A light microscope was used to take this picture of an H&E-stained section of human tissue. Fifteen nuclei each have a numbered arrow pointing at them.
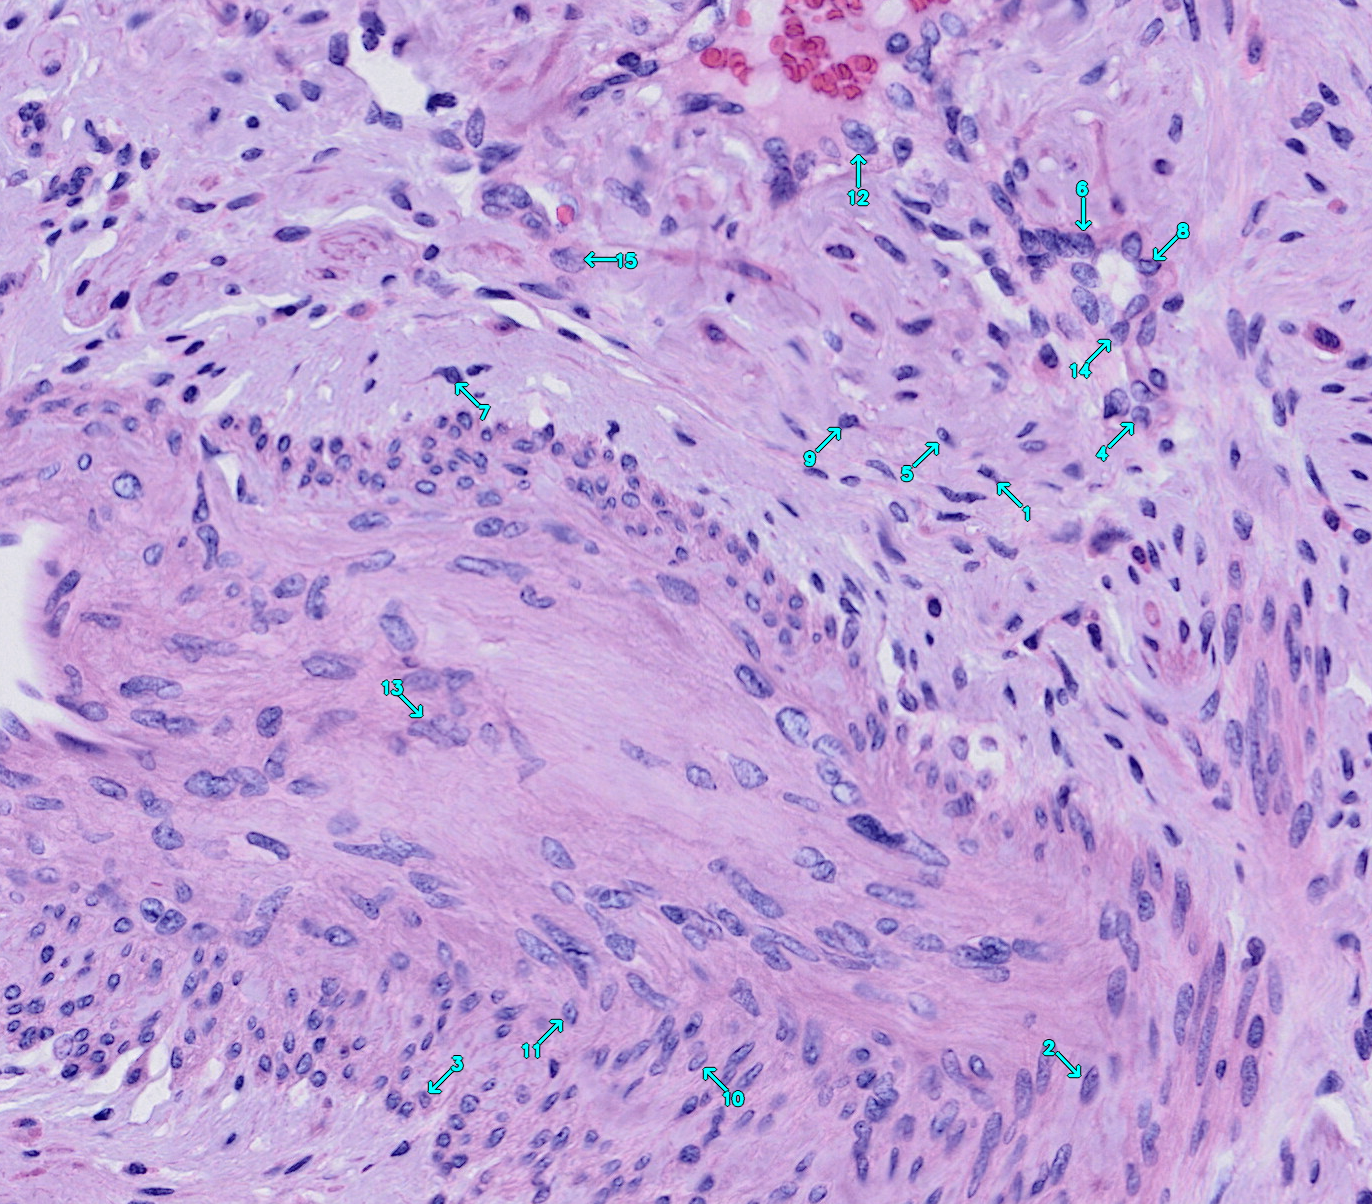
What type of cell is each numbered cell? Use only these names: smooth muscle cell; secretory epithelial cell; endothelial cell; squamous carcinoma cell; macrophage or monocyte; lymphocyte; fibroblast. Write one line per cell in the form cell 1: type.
cell 1: fibroblast
cell 2: smooth muscle cell
cell 3: smooth muscle cell
cell 4: endothelial cell
cell 5: fibroblast
cell 6: endothelial cell
cell 7: fibroblast
cell 8: endothelial cell
cell 9: fibroblast
cell 10: smooth muscle cell
cell 11: smooth muscle cell
cell 12: endothelial cell
cell 13: smooth muscle cell
cell 14: endothelial cell
cell 15: endothelial cell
